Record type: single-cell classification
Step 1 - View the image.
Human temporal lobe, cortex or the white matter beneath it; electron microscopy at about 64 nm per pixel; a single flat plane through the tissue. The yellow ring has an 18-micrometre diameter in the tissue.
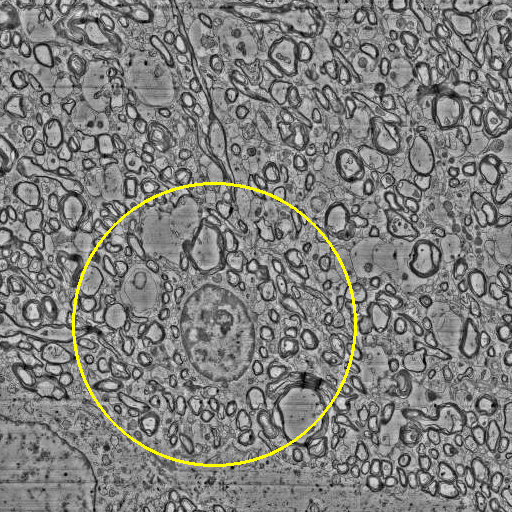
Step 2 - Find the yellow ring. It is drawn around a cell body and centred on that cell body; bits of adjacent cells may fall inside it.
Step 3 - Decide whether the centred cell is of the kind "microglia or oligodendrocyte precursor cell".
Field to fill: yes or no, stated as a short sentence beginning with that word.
No, the centred cell belongs to another kind.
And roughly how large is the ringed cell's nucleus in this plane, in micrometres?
About 6 by 5 micrometers, in this plane.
